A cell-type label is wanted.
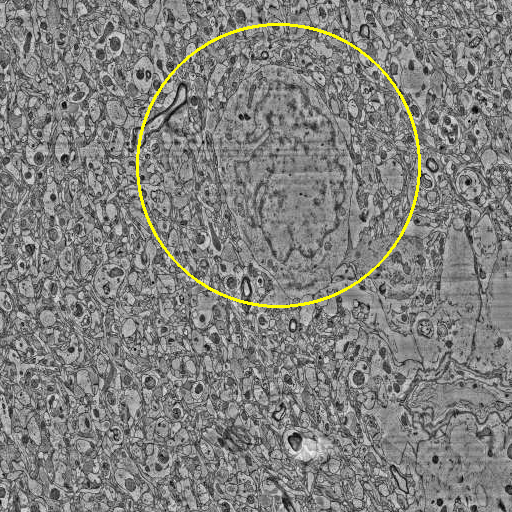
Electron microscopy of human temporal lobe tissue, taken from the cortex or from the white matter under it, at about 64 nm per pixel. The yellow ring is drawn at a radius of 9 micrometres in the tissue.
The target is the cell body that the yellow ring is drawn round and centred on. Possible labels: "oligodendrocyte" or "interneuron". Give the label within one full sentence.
Of the labels offered, the cell in the middle of the yellow ring is an interneuron.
